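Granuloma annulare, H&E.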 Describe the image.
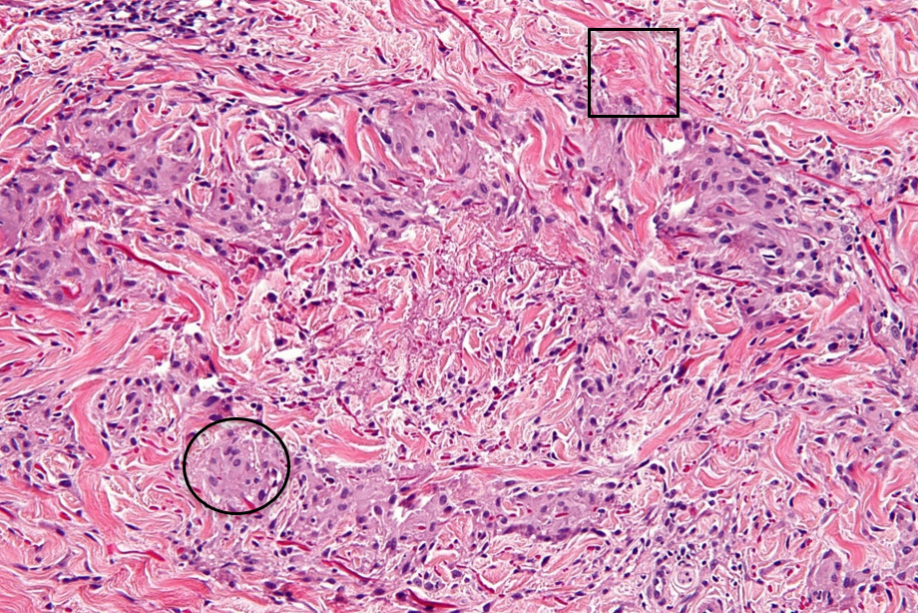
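The cells in the ring have oval or elongated dark purple nuclei and ample pale pink cytoplasm. They lie side by side in clusters and bands along the ring's edge. Inside the ring is a looser central zone of pale, frayed pink fibers with fine wispy bluish-grey material between them. Scattered spindle-shaped nuclei lie among the fibers.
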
